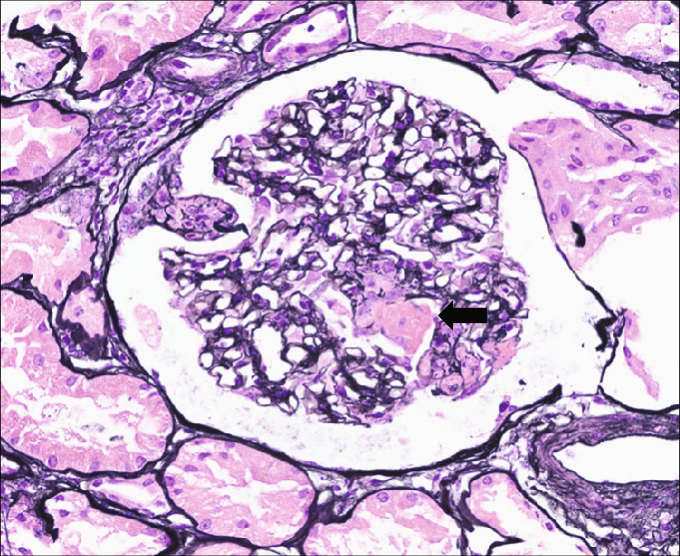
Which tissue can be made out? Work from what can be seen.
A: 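A round tuft of capillary loops outlined in black sits inside a clear space. A thin black capsule surrounds the clear space. Pink tubules lie around it.
Answer: glomerulus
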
